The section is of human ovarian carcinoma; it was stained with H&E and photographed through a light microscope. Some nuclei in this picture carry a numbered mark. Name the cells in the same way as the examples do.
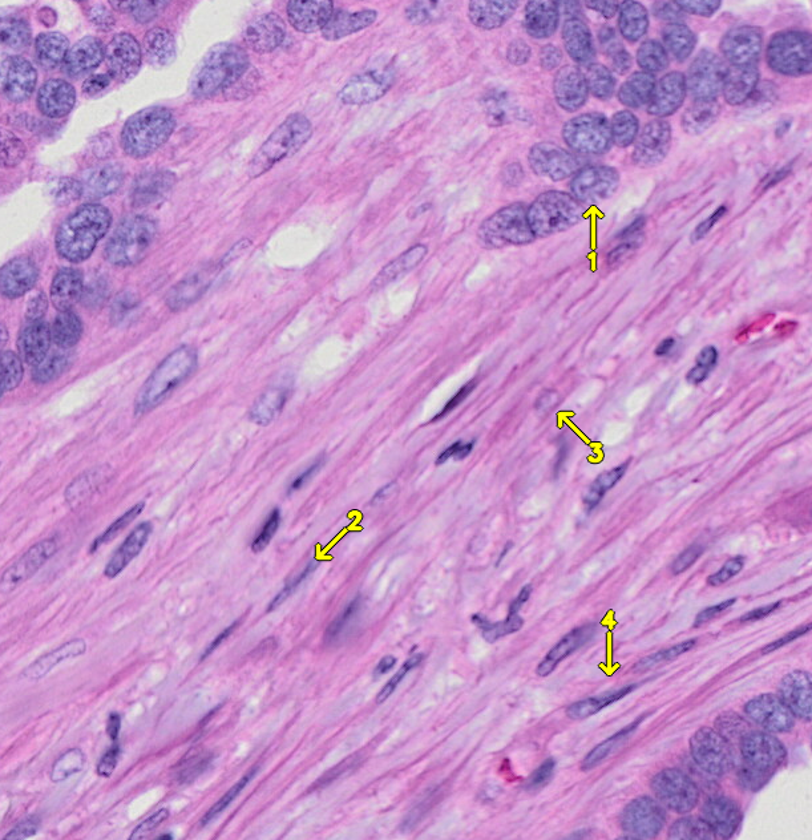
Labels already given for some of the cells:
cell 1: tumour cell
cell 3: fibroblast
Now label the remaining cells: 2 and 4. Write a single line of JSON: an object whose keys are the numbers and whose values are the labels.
{"2": "fibroblast", "4": "fibroblast"}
